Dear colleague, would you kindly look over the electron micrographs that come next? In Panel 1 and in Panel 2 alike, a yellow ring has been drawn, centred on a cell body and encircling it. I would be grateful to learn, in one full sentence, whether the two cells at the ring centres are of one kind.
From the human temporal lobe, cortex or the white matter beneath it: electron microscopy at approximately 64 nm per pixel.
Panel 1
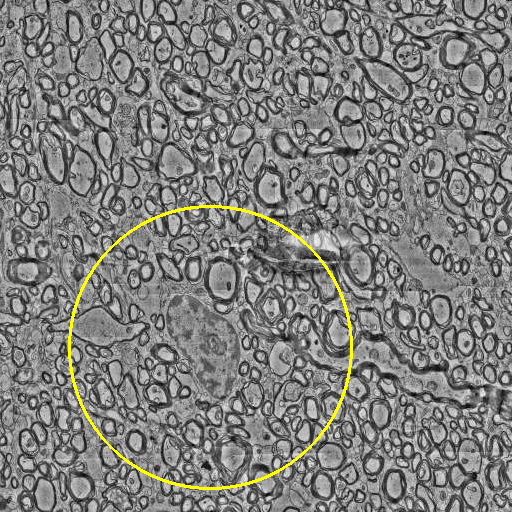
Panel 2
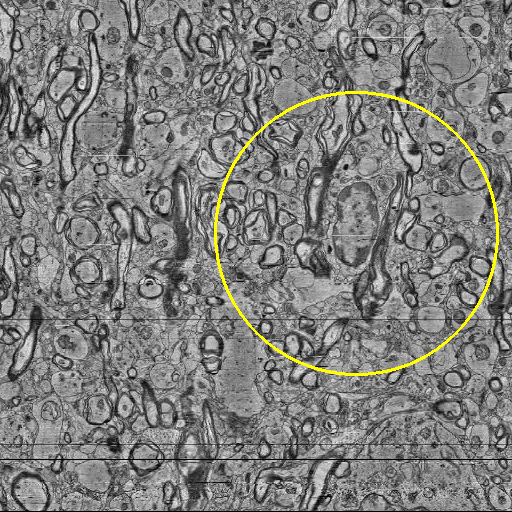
Yes, the cells in the middle of the rings in the two panels are of one kind.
